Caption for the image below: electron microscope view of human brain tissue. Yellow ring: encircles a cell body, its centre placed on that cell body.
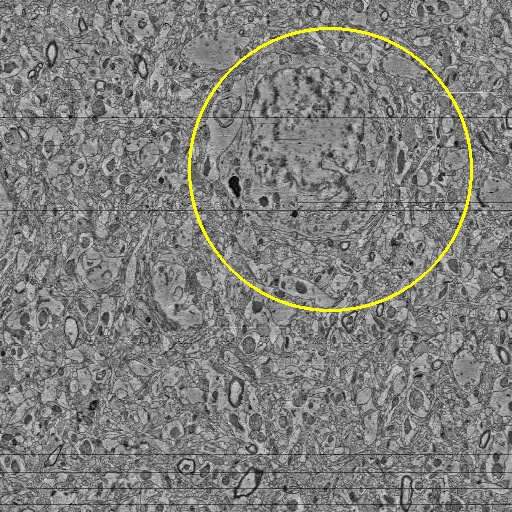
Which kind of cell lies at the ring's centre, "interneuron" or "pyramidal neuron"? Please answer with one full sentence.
The picture shows an interneuron at the centre of the yellow ring.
